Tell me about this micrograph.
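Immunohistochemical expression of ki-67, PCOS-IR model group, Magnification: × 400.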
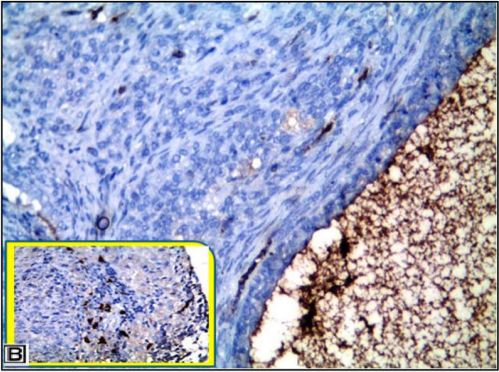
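This section shows a follicle wall with layers of granulosa cells inside and elongated theca cells around them, mostly counterstained blue. The rounded granulosa cells form a compact layer with blue nuclei and almost no brown stain. The spindle-shaped theca cells run in parallel bands around the follicle, and a few of their nuclei are brown.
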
